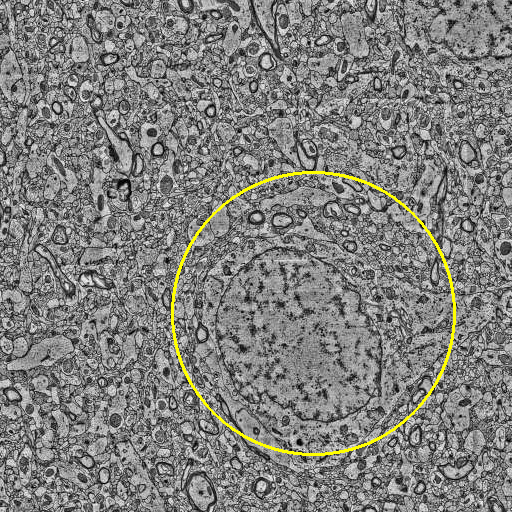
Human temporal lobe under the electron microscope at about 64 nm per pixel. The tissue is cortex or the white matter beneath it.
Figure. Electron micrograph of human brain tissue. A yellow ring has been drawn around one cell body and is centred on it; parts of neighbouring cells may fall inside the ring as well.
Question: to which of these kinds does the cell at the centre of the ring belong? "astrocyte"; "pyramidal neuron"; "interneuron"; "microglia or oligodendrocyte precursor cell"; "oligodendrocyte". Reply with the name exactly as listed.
pyramidal neuron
